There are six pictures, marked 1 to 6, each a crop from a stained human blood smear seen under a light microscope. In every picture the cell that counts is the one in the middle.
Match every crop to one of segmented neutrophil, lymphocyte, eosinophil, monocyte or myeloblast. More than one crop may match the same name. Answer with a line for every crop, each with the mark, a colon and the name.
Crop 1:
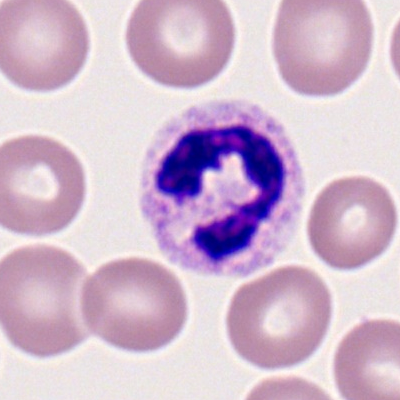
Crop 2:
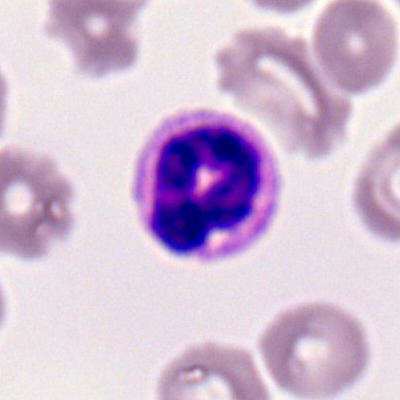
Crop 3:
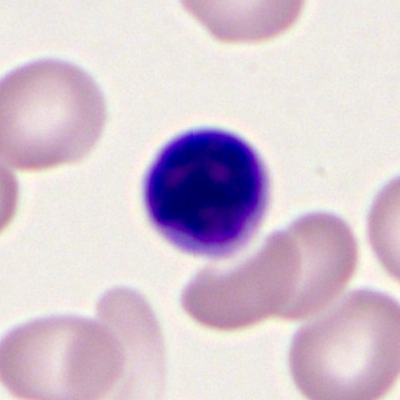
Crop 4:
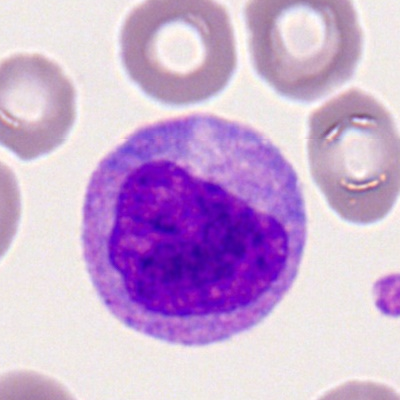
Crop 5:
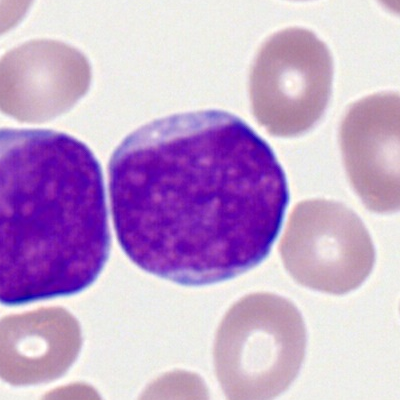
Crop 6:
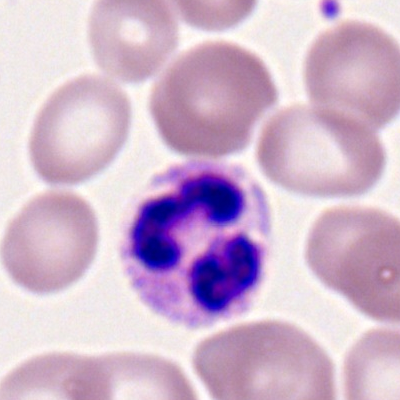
1: segmented neutrophil
2: segmented neutrophil
3: lymphocyte
4: monocyte
5: myeloblast
6: segmented neutrophil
